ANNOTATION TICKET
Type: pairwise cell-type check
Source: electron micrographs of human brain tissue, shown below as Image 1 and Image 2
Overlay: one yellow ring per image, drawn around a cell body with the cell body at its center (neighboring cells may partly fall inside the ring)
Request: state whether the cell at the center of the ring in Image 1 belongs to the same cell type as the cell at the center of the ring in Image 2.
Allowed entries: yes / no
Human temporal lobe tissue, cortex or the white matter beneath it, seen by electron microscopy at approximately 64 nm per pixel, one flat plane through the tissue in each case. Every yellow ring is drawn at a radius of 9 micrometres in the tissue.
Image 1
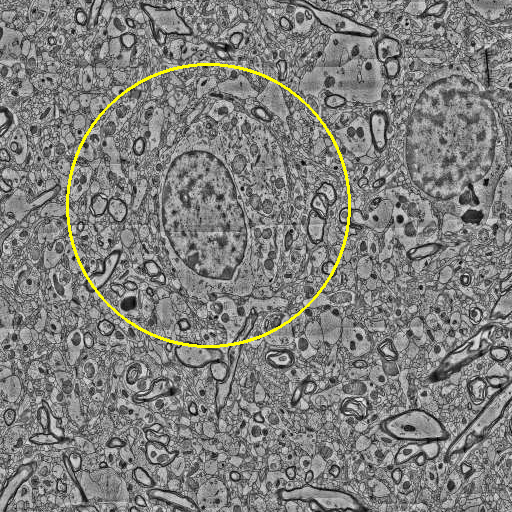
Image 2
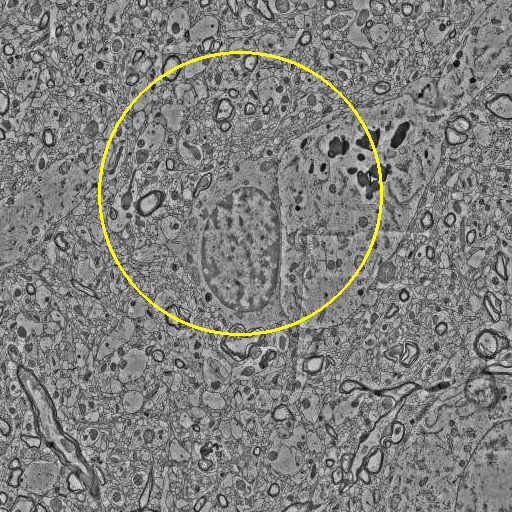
no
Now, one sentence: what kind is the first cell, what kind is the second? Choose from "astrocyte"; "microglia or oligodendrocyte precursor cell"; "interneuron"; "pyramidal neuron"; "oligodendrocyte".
The first picture has a microglial cell or oligodendrocyte precursor cell at its ring centre, and the second has an oligodendrocyte.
